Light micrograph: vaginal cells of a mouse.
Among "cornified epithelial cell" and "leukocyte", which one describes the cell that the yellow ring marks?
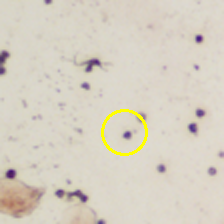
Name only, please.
leukocyte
